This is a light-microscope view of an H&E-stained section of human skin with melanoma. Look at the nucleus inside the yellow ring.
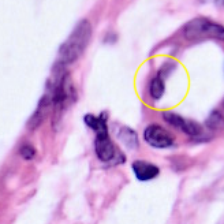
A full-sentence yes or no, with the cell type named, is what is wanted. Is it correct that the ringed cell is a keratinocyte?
No, what the ringed cell represents is an endothelial cell rather than a keratinocyte.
